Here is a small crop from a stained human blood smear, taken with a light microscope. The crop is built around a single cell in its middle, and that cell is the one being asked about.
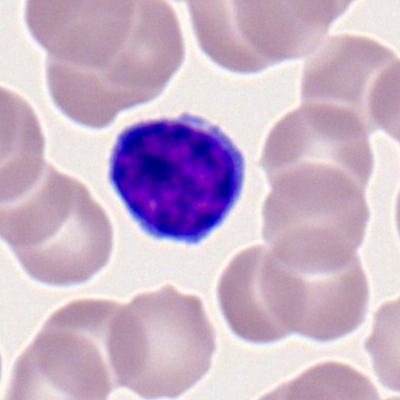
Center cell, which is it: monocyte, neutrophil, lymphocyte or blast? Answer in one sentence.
In short, the cell at the center is a lymphocyte.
